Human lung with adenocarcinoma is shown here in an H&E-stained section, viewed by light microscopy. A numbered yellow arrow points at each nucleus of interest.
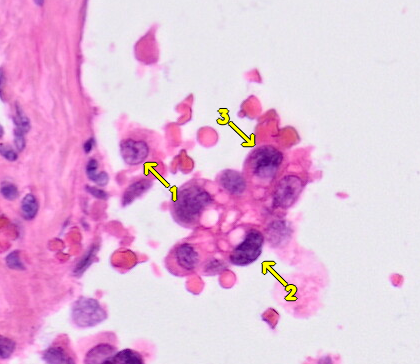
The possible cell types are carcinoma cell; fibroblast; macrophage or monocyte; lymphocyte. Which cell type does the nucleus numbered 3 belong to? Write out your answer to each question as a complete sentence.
The cell whose nucleus carries the number 3 is a carcinoma cell.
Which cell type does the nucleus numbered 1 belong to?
Corresponding to a macrophage or monocyte is the cell labelled 1.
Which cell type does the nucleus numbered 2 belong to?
Numbered cell 2 is a carcinoma cell in this tissue section.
